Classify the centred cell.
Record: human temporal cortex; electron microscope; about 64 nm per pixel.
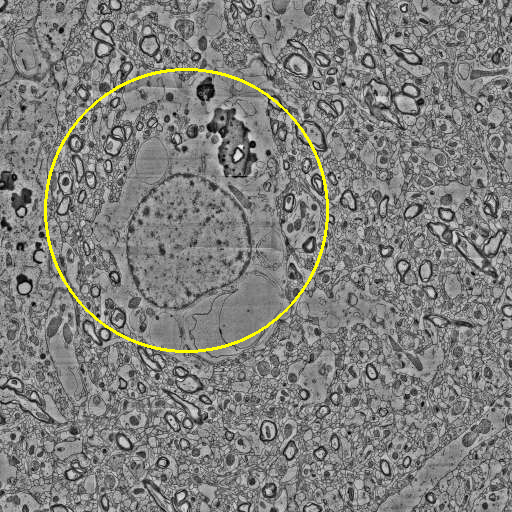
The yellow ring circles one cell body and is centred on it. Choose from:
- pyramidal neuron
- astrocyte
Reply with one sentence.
The ring is centred on an astrocyte.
